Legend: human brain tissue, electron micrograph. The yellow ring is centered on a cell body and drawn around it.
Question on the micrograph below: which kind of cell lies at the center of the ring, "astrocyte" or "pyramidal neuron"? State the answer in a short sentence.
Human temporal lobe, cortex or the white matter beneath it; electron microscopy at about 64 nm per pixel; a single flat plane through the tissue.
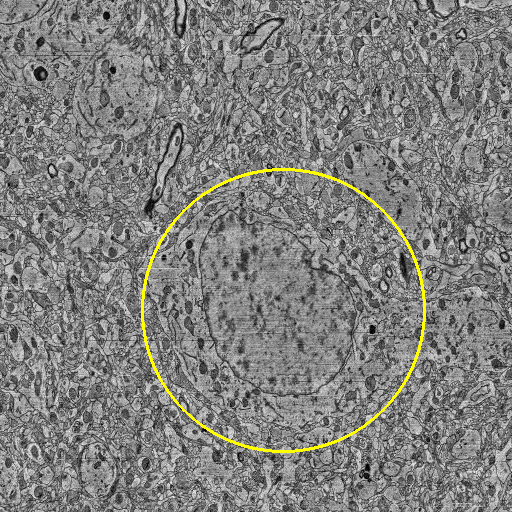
At the center of the ring lies a pyramidal neuron.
